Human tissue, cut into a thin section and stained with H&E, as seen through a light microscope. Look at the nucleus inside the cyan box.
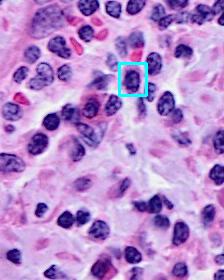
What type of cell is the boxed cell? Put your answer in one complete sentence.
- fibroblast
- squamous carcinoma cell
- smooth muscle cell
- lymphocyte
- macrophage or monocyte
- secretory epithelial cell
Just put down that the boxed cell is a lymphocyte.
